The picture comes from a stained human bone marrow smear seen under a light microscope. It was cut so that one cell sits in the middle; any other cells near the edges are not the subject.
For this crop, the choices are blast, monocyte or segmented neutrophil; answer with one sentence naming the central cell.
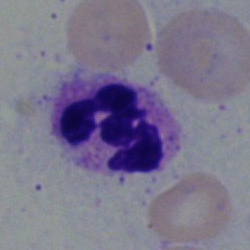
Seen at the centre of the crop is a segmented neutrophil.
